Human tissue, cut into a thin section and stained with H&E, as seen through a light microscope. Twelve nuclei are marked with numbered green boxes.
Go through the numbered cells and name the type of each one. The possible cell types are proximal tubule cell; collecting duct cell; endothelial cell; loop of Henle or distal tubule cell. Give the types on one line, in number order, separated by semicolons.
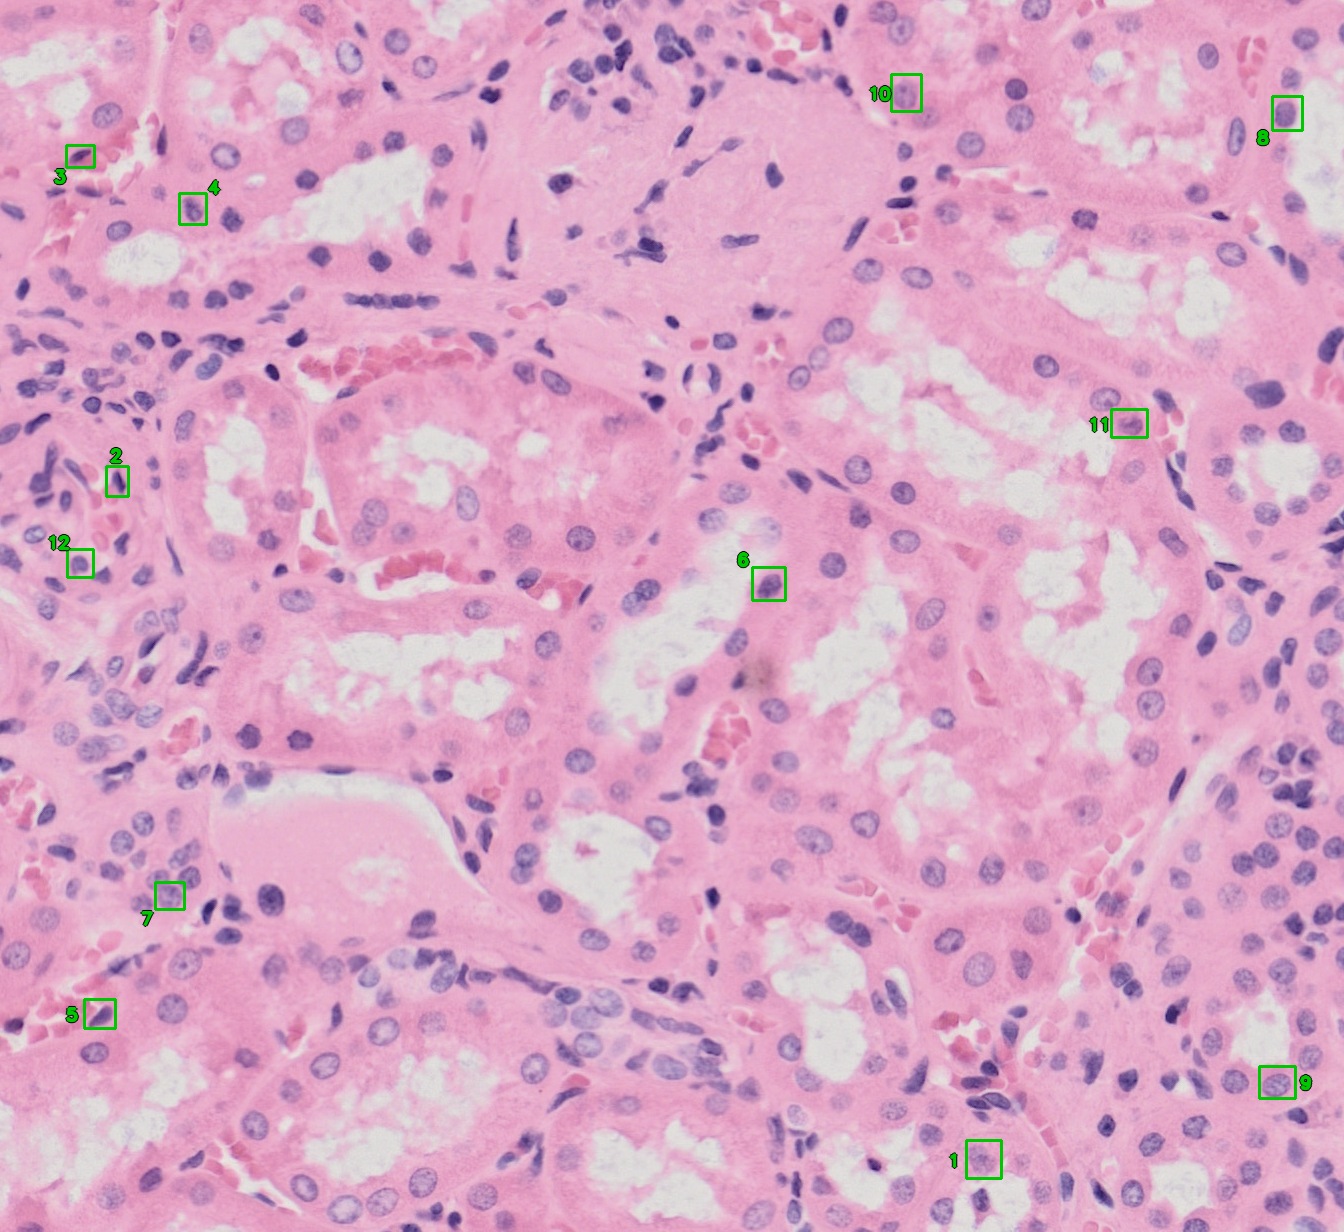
loop of Henle or distal tubule cell; endothelial cell; endothelial cell; loop of Henle or distal tubule cell; endothelial cell; loop of Henle or distal tubule cell; collecting duct cell; loop of Henle or distal tubule cell; loop of Henle or distal tubule cell; proximal tubule cell; proximal tubule cell; endothelial cell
